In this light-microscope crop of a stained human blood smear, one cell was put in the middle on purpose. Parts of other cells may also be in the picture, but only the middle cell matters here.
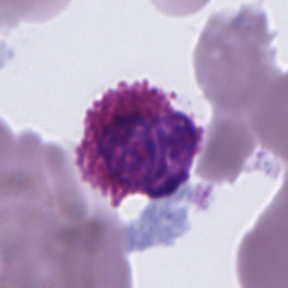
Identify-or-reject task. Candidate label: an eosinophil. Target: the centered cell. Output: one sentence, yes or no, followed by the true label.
Yes, the centre of the crop holds an eosinophil.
